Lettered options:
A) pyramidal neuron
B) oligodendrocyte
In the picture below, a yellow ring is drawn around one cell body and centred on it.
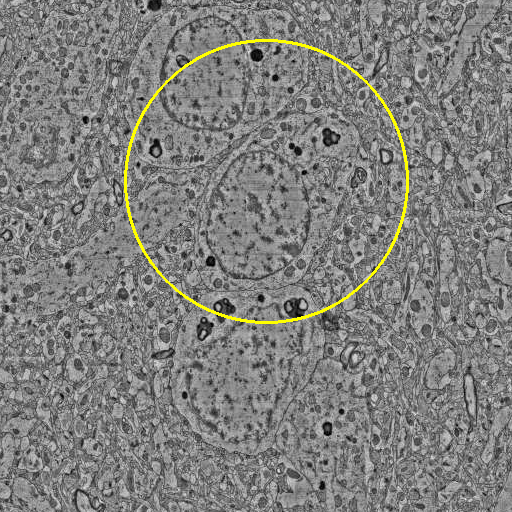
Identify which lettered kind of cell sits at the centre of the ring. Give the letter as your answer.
A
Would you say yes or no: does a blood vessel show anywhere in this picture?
No, the picture includes no blood vessel.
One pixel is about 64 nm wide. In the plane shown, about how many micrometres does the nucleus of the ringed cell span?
About 8 by 7 micrometers, in this plane.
